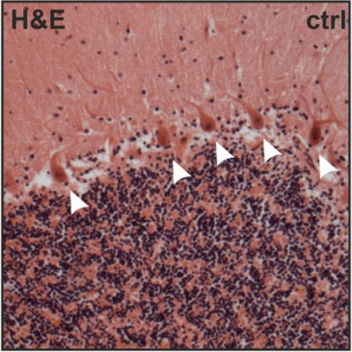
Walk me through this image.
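This is cerebellar cortex showing Purkinje cells in a row between the molecular layer above and the granular layer below. The molecular layer is pale pink and fibrillar with only scattered small nuclei. The Purkinje cells have large, flask-shaped cell bodies with pink-red cytoplasm, set side by side along the border, and some send a thick dendrite upward into the molecular layer. Below them the granular layer is a dense sheet of small, round, dark blue-purple nuclei with little cytoplasm between them. Small clear spaces are seen around some of the Purkinje cell bodies.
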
